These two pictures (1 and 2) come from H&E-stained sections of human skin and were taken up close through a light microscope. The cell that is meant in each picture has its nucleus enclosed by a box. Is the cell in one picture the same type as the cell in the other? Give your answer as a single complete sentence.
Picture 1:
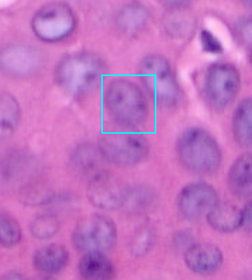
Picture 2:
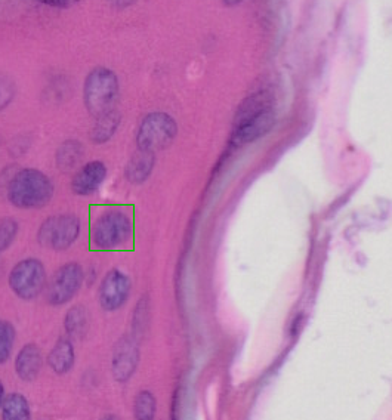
Yes; the cells in both pictures are suprabasal keratinocytes.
